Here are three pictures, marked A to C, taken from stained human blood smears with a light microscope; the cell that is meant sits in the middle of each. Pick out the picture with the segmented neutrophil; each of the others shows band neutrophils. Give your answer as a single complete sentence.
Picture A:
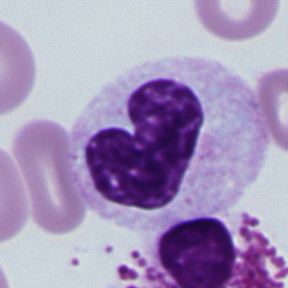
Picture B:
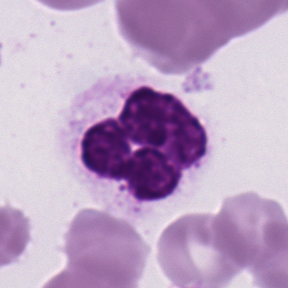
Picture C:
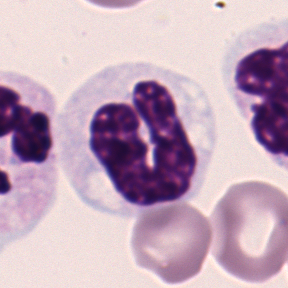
Picture B shows the segmented neutrophil.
